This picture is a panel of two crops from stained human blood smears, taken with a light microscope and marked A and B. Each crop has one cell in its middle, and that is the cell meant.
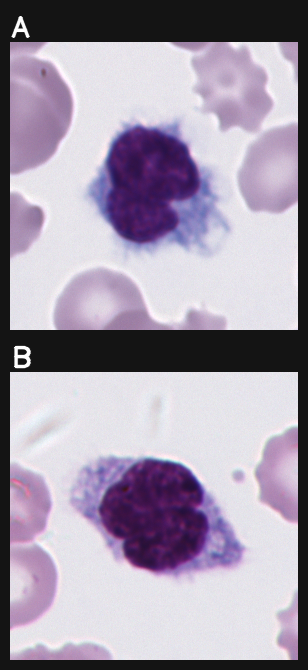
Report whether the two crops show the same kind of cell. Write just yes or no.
yes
